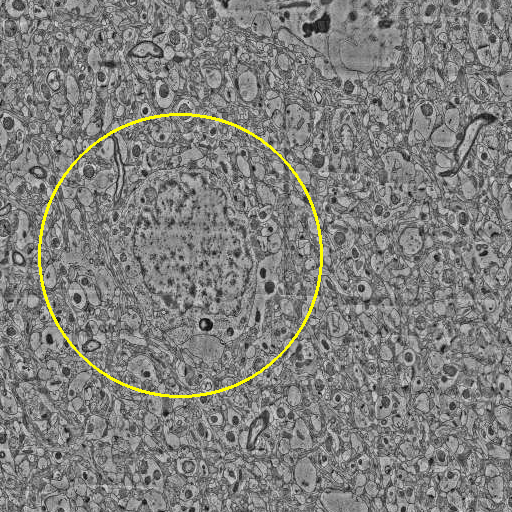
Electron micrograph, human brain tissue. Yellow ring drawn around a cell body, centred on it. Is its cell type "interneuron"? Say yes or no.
yes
